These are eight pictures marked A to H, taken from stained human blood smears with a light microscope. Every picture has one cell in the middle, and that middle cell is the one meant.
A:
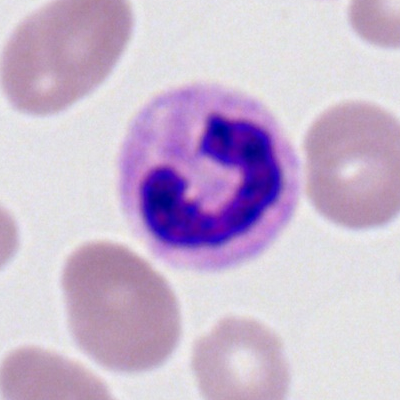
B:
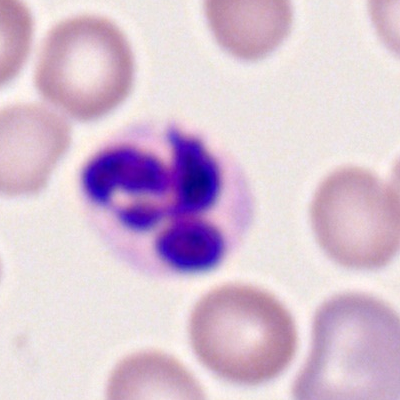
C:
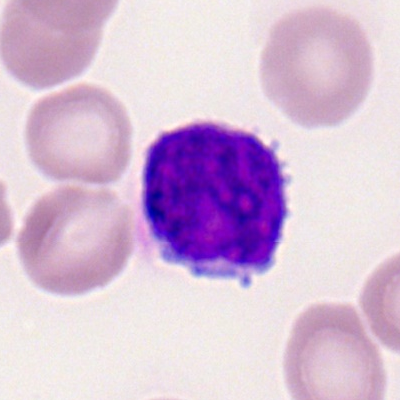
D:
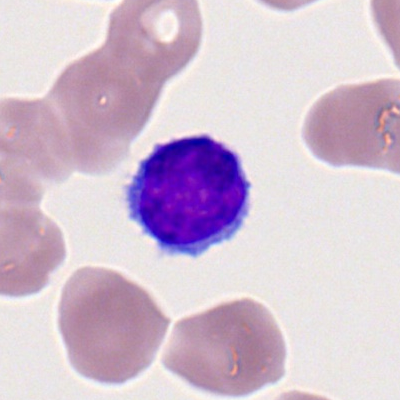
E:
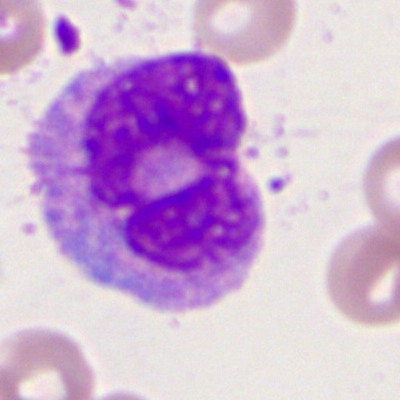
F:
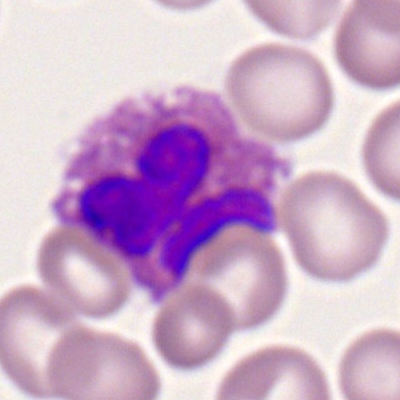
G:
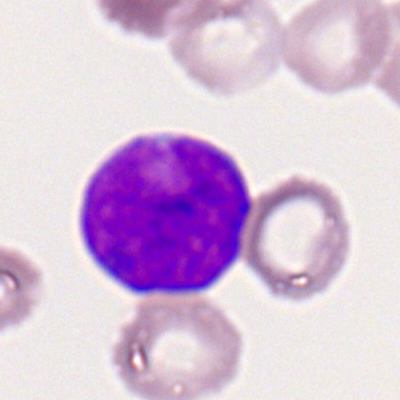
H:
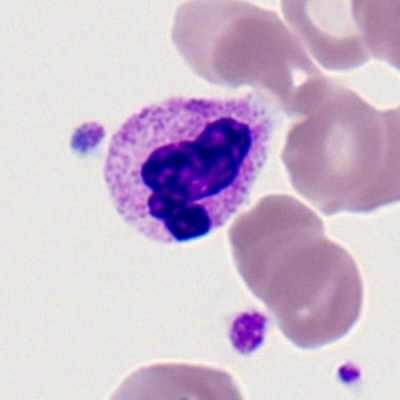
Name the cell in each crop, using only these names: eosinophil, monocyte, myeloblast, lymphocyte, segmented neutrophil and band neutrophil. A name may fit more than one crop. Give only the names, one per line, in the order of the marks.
band neutrophil
segmented neutrophil
lymphocyte
lymphocyte
monocyte
eosinophil
myeloblast
segmented neutrophil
